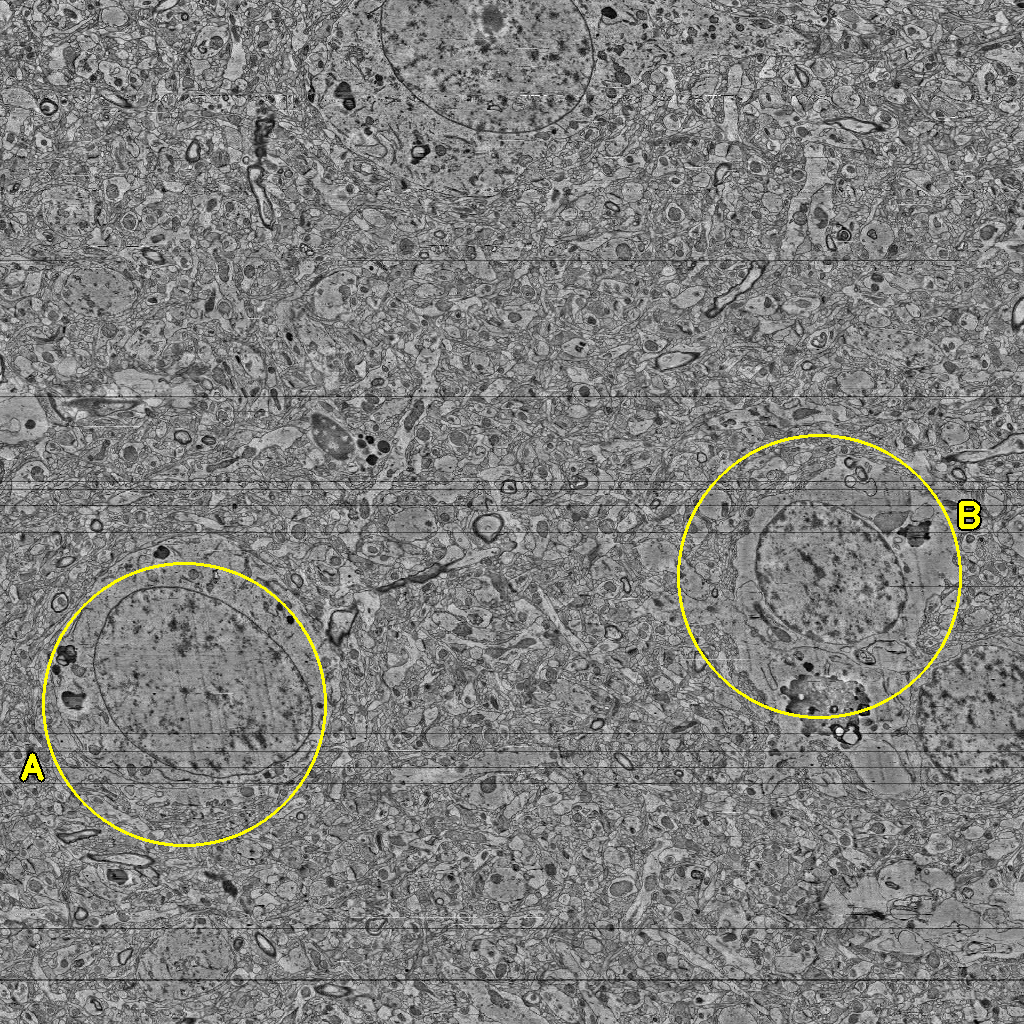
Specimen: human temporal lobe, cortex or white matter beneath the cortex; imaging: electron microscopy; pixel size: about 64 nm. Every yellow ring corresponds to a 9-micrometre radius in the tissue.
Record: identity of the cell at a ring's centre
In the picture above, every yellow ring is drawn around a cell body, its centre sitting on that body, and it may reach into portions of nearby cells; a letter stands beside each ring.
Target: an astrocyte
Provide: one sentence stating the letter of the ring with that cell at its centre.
The letter of the ring centred on a cell of that kind is B.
